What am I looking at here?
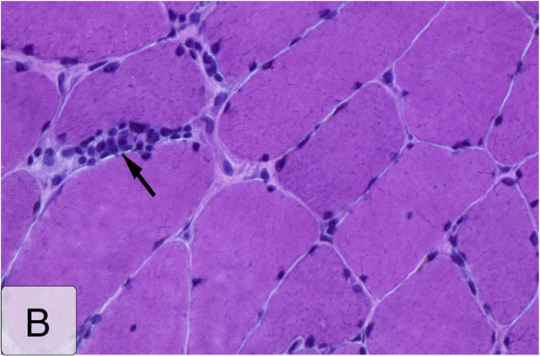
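Skeletal muscle in cross-section, with large polygonal muscle fibres whose cytoplasm stains evenly purple-pink. Dark, flattened nuclei sit at the margins of the fibres. Thin strands of pale connective tissue run between the fibres. At the upper left, a dense group of small, round, dark nuclei of inflammatory cells lies in the space between fibres, forming a small focal infiltrate. Elsewhere the fibres are fairly uniform in shape and staining, without obvious pale or fragmented fibres.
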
